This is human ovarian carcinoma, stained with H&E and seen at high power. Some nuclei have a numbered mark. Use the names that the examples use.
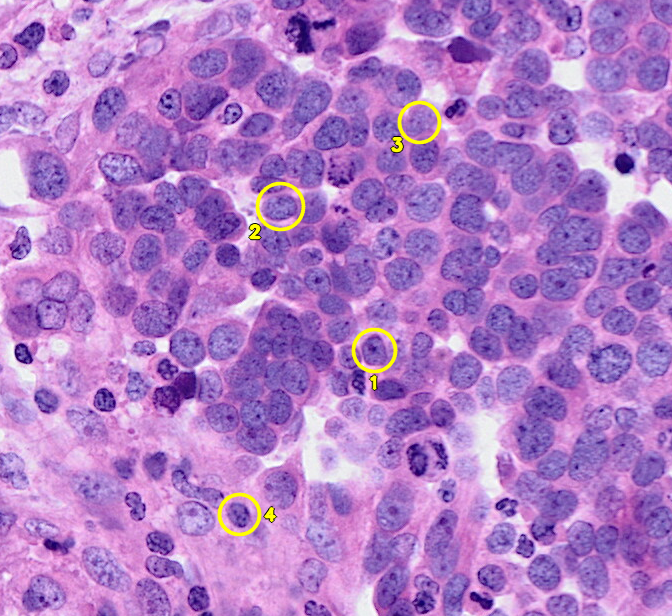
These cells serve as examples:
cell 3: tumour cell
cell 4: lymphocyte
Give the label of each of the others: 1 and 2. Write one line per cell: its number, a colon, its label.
1: tumour cell
2: tumour cell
